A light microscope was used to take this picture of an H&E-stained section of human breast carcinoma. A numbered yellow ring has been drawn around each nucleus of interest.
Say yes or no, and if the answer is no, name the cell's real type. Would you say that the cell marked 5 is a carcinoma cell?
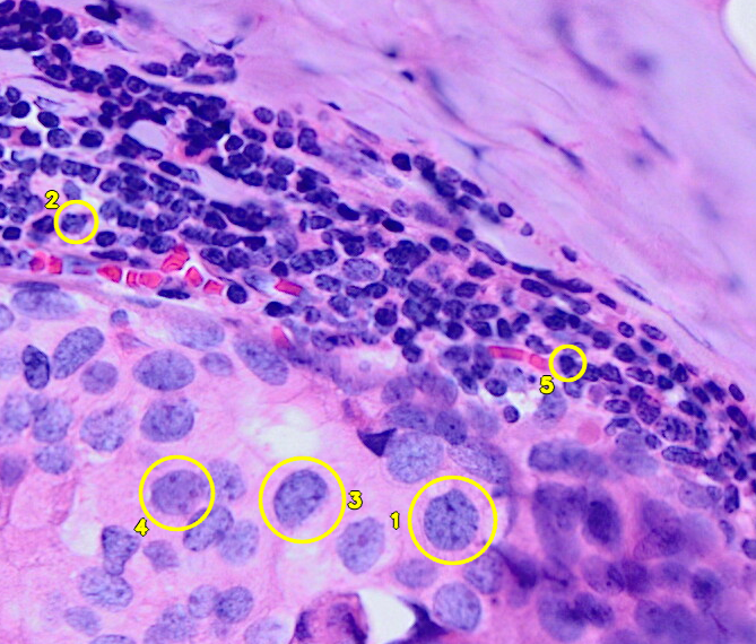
No, it is a lymphocyte.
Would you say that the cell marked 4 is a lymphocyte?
No, it is a carcinoma cell.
